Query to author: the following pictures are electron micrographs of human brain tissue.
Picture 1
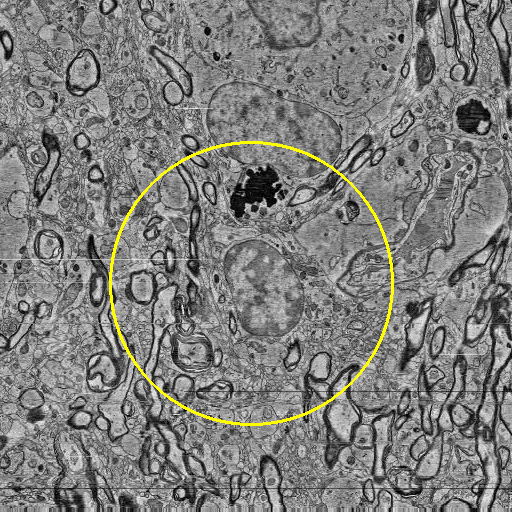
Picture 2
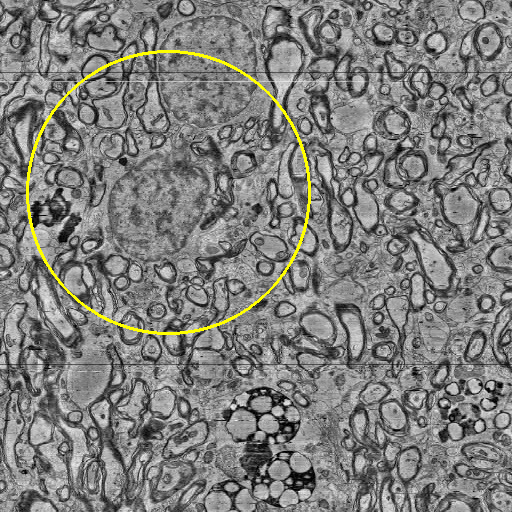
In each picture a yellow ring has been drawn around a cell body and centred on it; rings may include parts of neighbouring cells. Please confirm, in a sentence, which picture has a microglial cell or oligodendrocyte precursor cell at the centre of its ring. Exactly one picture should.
Picture 1 has it at the centre of its ring.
